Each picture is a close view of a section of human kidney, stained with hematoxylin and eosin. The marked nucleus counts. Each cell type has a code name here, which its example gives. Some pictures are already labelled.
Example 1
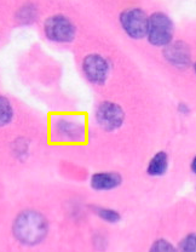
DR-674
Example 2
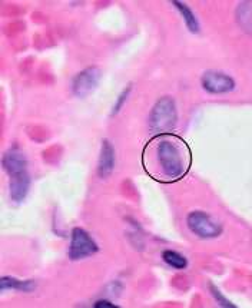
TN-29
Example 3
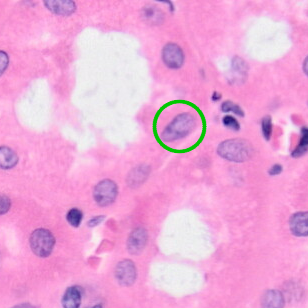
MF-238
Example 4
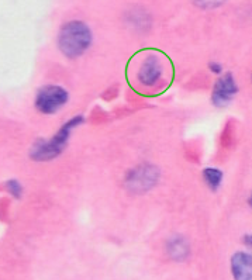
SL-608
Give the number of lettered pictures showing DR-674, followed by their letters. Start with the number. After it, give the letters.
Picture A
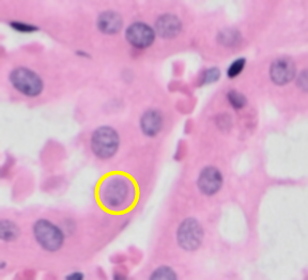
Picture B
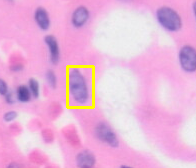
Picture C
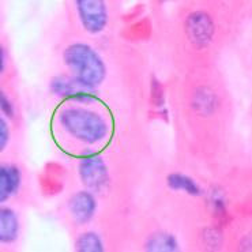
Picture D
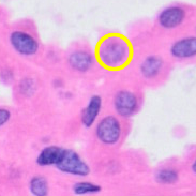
1, namely D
